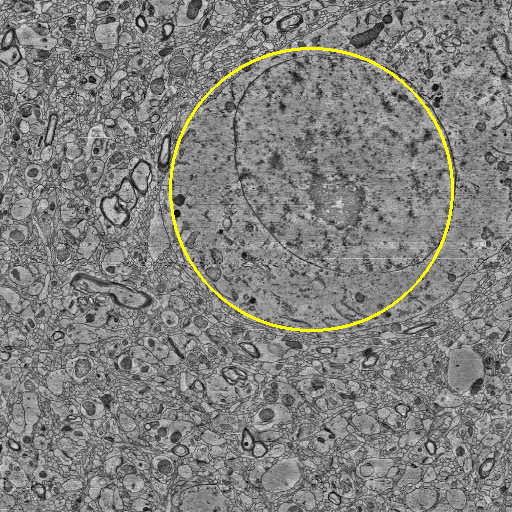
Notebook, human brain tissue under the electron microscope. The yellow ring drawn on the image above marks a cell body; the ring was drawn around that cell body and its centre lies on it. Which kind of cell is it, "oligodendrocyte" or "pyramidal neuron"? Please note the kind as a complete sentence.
The marked cell body is that of a pyramidal neuron.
